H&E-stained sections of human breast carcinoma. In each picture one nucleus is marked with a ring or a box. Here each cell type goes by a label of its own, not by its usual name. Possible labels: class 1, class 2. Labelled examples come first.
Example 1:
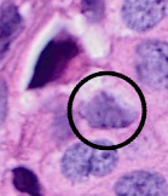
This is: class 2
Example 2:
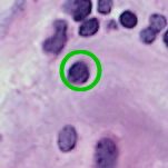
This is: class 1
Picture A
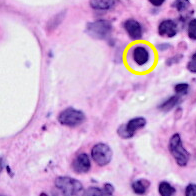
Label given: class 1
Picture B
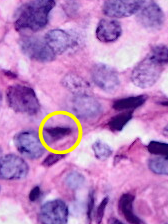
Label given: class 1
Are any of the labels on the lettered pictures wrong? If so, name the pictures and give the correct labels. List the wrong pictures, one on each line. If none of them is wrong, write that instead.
B: change class 1 to class 2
